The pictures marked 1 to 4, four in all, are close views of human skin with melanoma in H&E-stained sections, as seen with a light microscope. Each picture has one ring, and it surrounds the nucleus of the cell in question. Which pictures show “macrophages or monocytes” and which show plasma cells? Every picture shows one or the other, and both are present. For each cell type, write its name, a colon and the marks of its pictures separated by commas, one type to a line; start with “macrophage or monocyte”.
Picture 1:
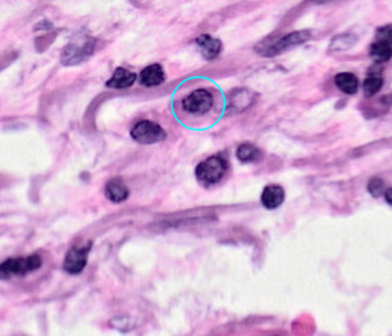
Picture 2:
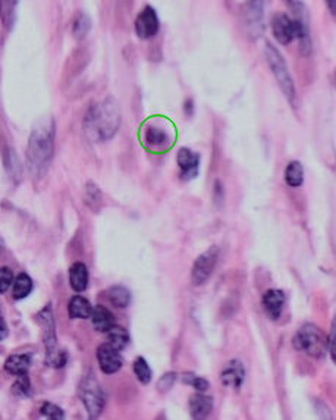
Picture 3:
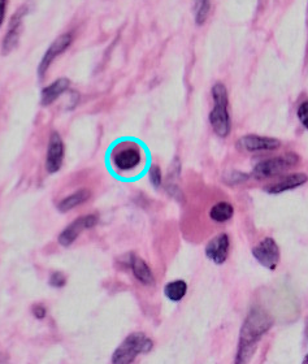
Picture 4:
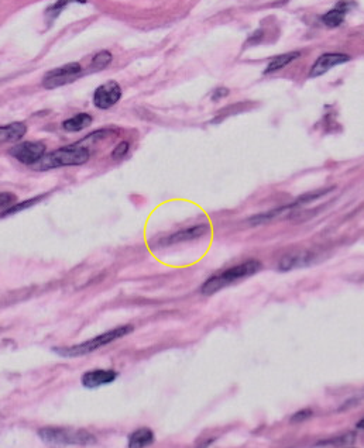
macrophage or monocyte: 4
plasma cell: 1, 2, 3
